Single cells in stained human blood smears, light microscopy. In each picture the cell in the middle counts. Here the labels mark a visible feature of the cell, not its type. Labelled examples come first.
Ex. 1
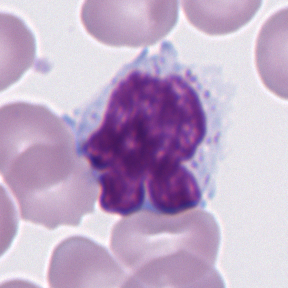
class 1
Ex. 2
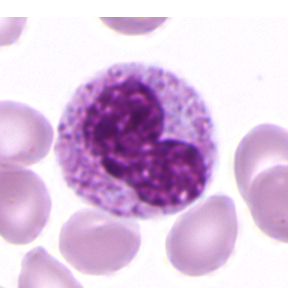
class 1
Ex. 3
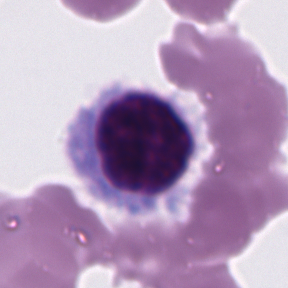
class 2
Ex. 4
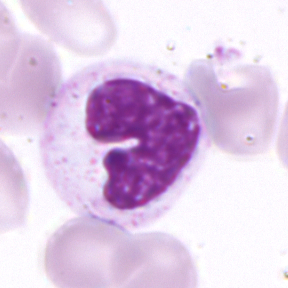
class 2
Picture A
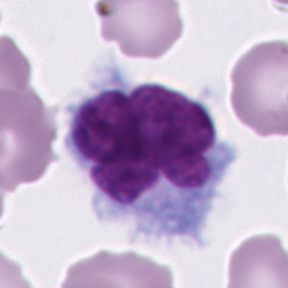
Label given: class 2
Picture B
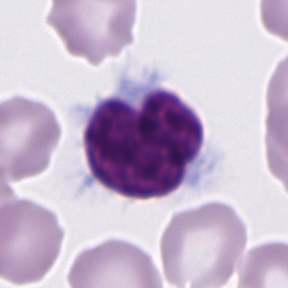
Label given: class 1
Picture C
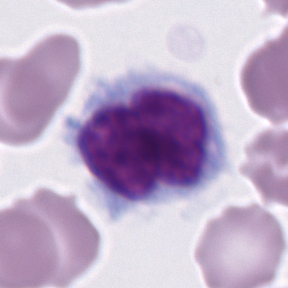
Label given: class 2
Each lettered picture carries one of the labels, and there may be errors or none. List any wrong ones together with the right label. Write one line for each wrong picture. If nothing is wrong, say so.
A should be class 1, not class 2
C should be class 1, not class 2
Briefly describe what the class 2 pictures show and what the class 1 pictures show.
In class 2: single compact nucleus. In class 1: lobed nucleus.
